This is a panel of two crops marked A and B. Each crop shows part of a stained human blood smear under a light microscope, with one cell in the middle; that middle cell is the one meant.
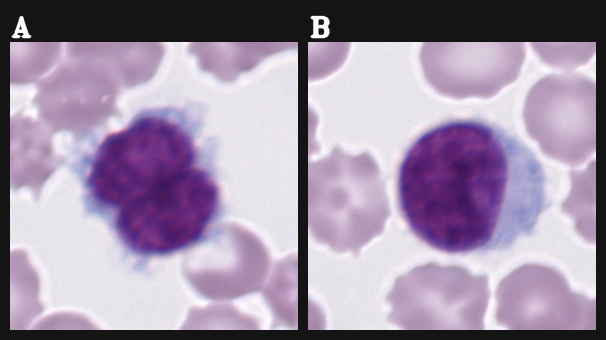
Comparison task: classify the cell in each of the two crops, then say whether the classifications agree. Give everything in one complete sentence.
Yes, the centre cells of both crops are hairy cells.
